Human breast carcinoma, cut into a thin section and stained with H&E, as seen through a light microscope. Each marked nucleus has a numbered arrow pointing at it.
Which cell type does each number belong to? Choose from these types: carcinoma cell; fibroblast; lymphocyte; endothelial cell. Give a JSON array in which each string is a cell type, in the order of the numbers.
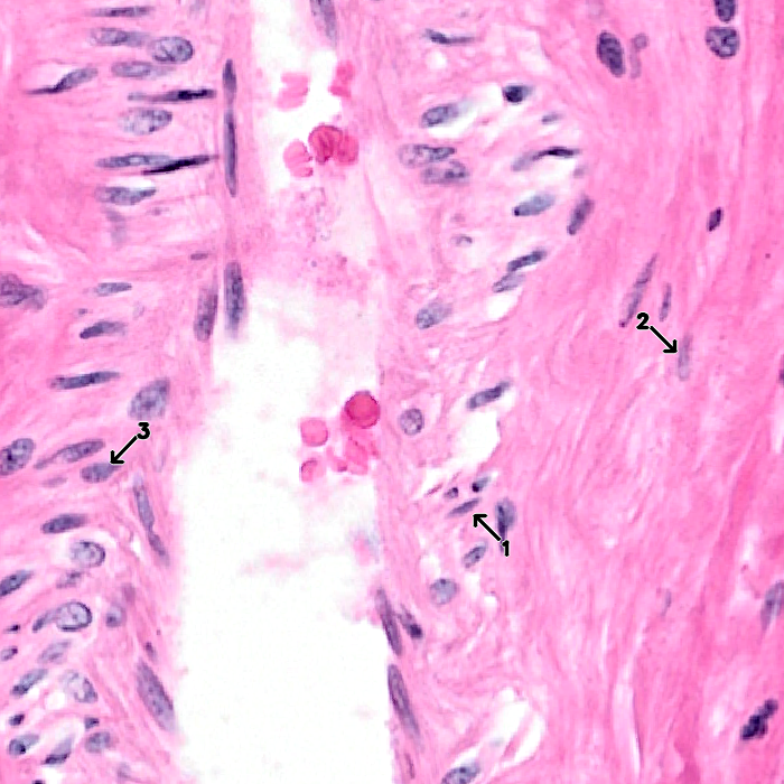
["endothelial cell", "fibroblast", "endothelial cell"]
